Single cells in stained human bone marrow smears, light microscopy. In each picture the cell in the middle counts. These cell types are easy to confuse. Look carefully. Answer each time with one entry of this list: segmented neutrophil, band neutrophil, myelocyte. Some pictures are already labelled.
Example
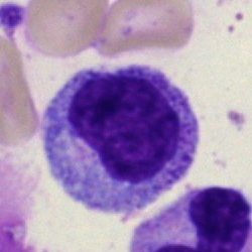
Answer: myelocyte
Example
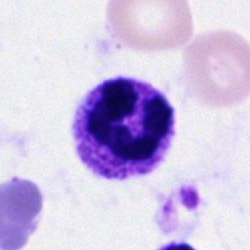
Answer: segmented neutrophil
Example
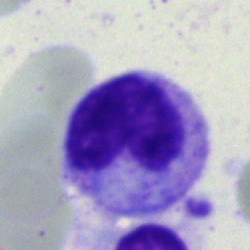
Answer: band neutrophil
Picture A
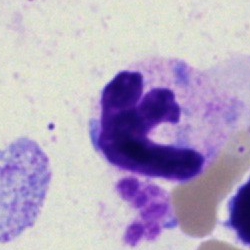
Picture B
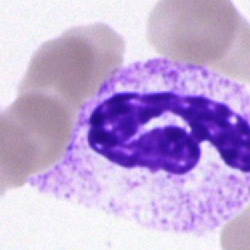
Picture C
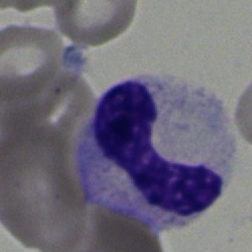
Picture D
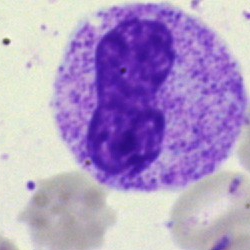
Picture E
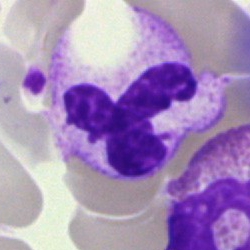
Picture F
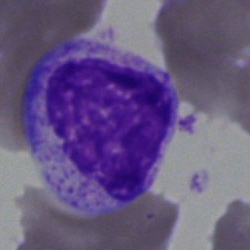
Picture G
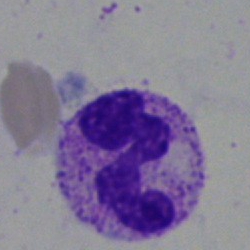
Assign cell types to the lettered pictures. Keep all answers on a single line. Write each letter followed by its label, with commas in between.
A segmented neutrophil, B segmented neutrophil, C band neutrophil, D band neutrophil, E segmented neutrophil, F myelocyte, G segmented neutrophil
